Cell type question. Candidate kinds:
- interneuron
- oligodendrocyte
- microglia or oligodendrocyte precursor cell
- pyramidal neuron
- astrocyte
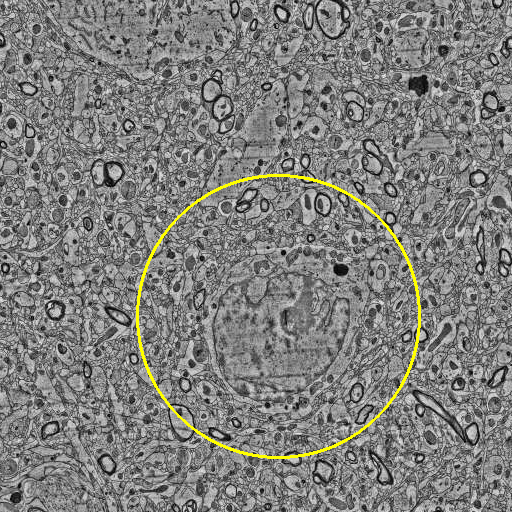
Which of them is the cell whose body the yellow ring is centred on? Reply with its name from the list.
interneuron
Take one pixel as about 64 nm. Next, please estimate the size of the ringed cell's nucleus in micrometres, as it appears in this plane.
Approximately 9 micrometres long and 8 micrometres wide, in this plane.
